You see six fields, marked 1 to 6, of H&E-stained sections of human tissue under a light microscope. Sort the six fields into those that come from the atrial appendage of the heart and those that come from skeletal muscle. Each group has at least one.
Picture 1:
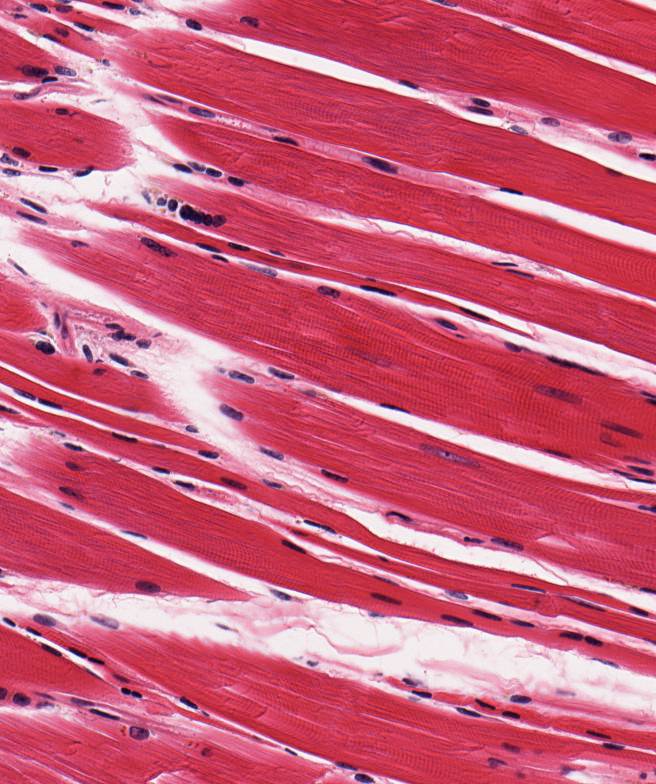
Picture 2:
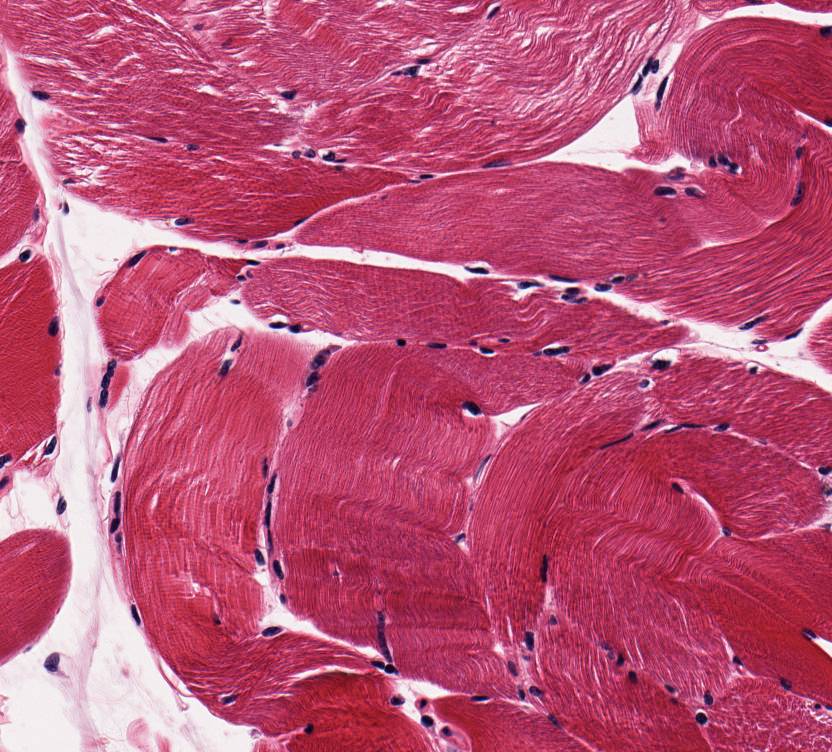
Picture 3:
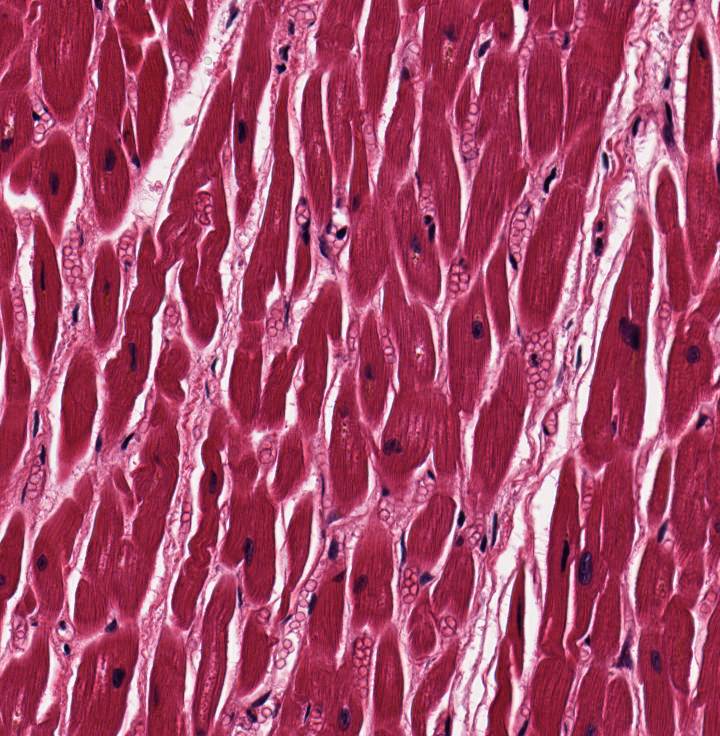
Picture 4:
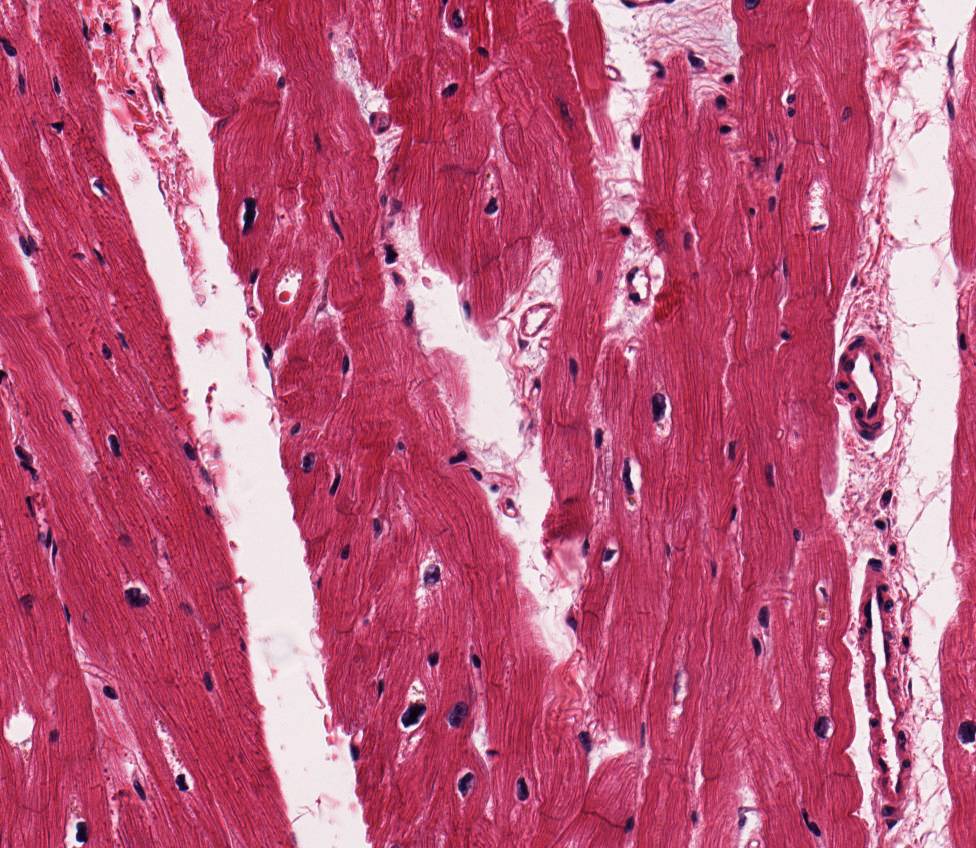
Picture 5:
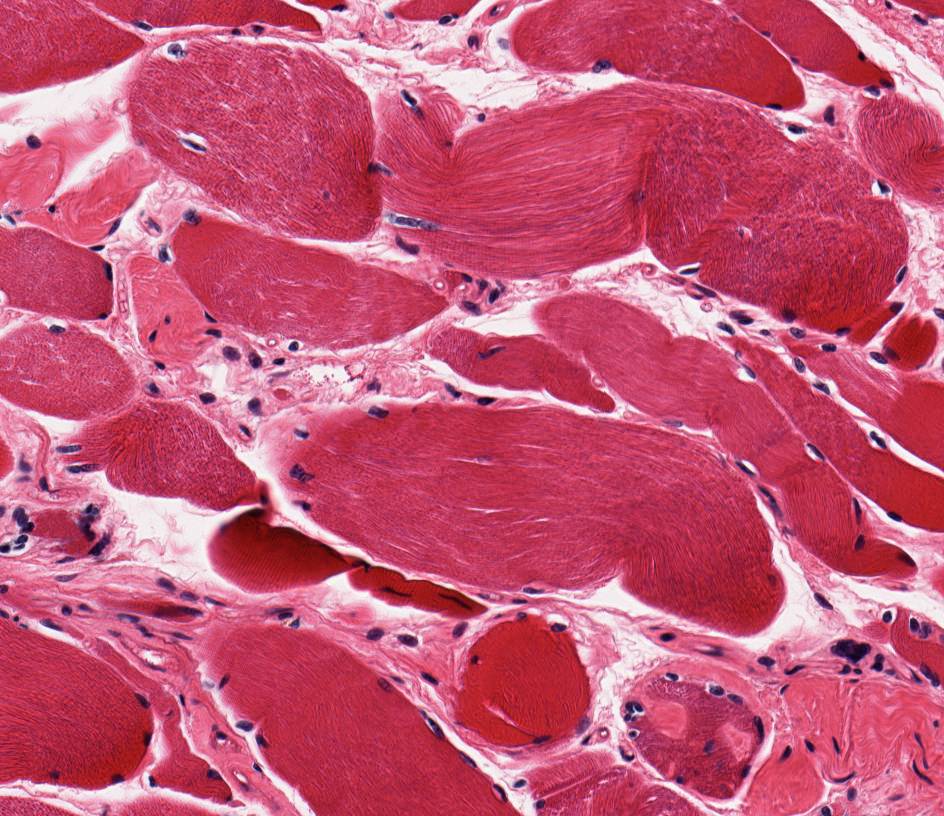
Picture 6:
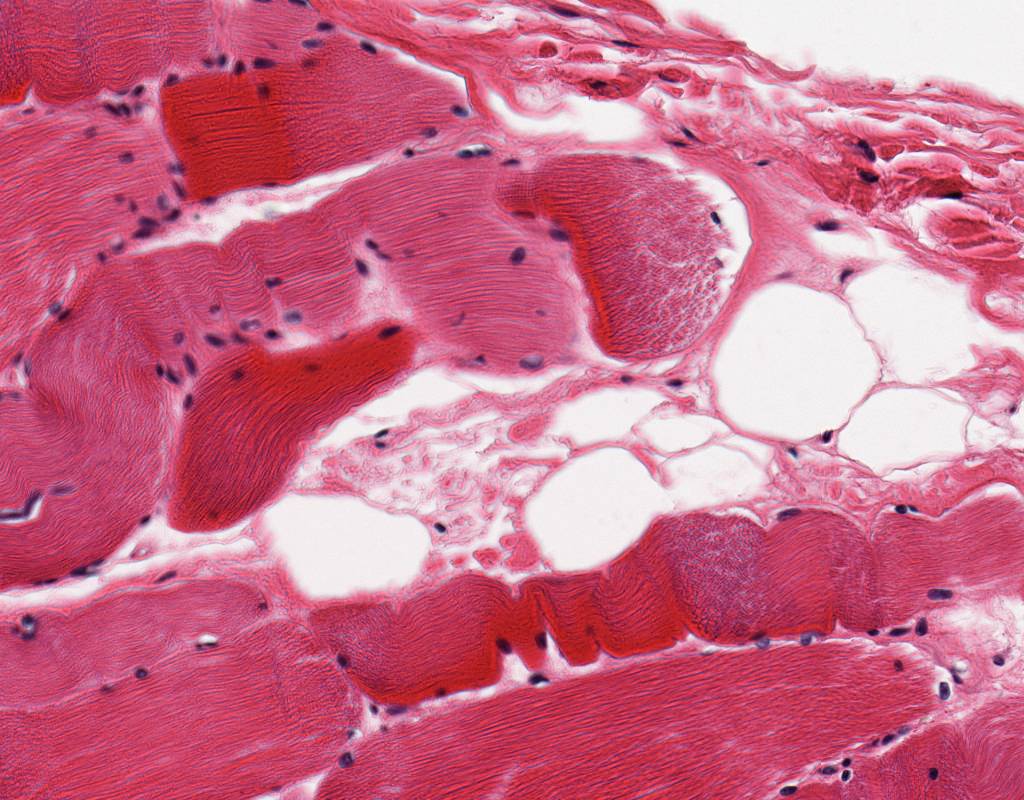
1: skeletal muscle
2: skeletal muscle
3: atrial appendage of the heart
4: atrial appendage of the heart
5: skeletal muscle
6: skeletal muscle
